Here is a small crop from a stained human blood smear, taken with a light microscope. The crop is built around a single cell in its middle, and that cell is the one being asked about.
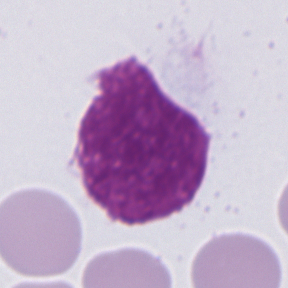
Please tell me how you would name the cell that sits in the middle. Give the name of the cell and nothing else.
smudge cell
